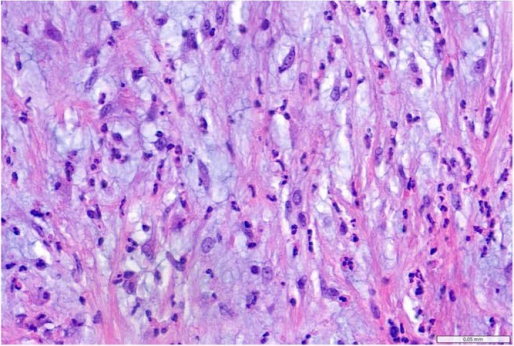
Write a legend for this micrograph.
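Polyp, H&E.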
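Subepithelial stroma with pink collagen strands and pale, bluish, loose spaces of myxoid change. Many inflammatory cells with small, dark, lobed nuclei are scattered through it, among larger spindle-shaped stromal cells with oval nuclei.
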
